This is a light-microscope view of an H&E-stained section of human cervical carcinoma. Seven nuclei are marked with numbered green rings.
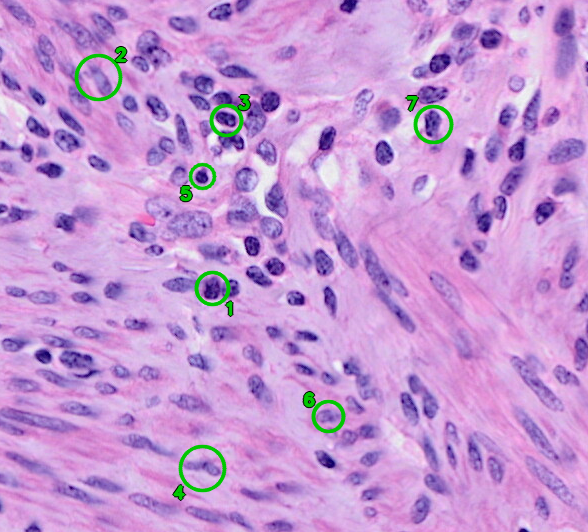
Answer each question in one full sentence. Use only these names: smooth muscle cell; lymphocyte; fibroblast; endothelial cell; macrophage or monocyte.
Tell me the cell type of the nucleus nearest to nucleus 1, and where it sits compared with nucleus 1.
The nearest one is a lymphocyte, found to the right of nucleus 1.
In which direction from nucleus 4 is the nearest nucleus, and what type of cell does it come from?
The nearest nucleus is that of a smooth muscle cell and lies above nucleus 4.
